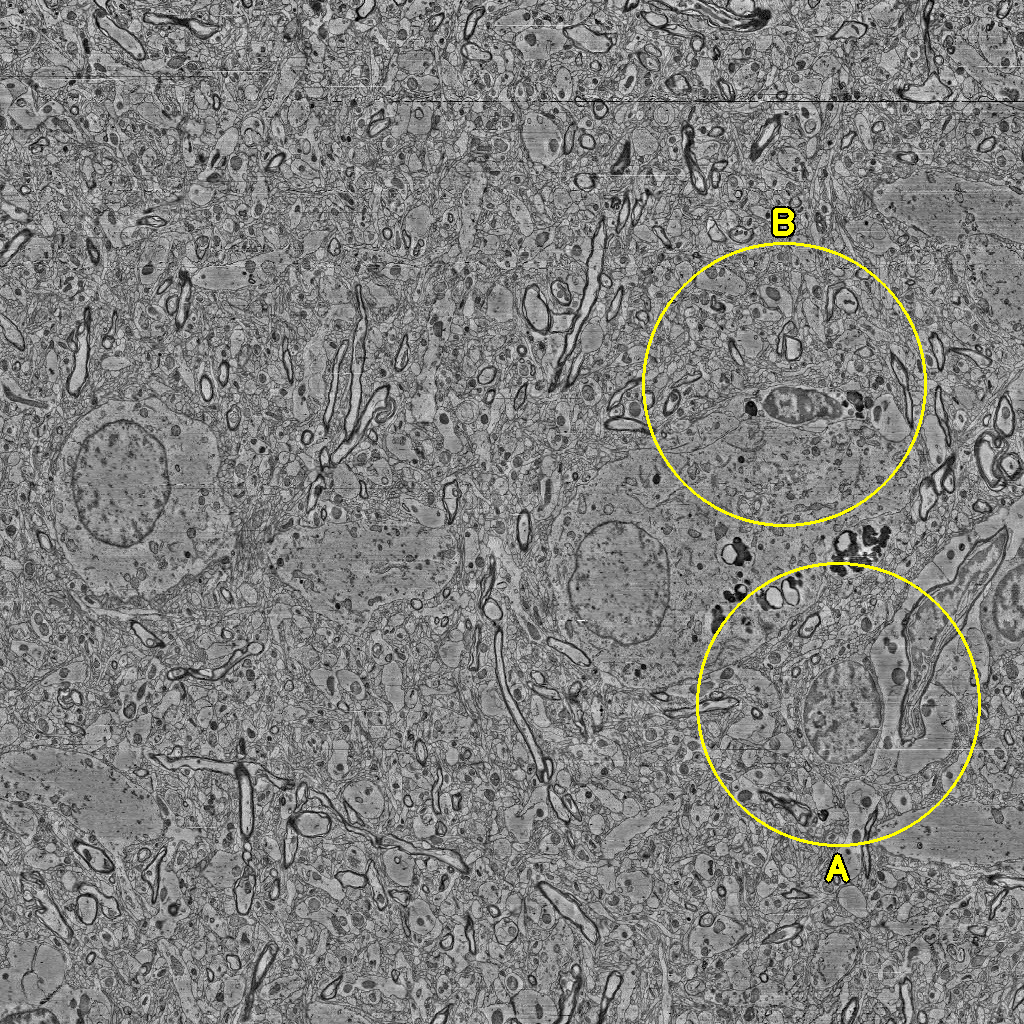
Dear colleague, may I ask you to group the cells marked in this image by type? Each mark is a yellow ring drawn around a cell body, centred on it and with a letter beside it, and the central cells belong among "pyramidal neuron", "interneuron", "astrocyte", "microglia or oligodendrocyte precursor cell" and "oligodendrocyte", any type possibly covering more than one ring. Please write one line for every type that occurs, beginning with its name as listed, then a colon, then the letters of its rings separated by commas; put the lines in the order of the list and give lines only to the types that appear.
microglia or oligodendrocyte precursor cell: B
oligodendrocyte: A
